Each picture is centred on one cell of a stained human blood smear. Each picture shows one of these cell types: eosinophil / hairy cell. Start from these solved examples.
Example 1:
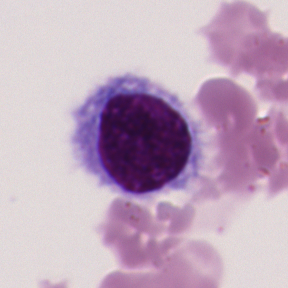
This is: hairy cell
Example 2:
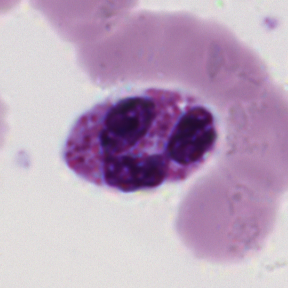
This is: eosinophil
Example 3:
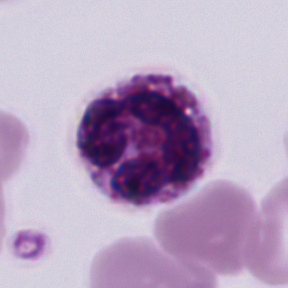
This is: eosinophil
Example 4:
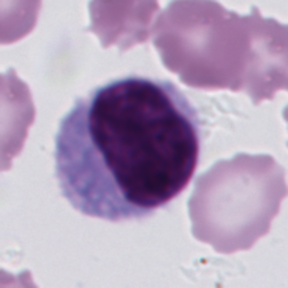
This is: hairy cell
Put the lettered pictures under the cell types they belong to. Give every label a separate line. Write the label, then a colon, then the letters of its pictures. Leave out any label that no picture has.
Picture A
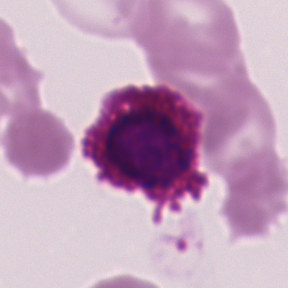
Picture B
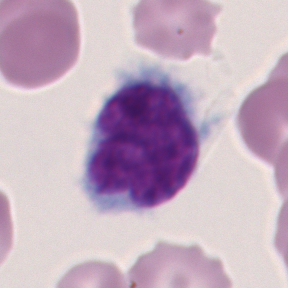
eosinophil: A
hairy cell: B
